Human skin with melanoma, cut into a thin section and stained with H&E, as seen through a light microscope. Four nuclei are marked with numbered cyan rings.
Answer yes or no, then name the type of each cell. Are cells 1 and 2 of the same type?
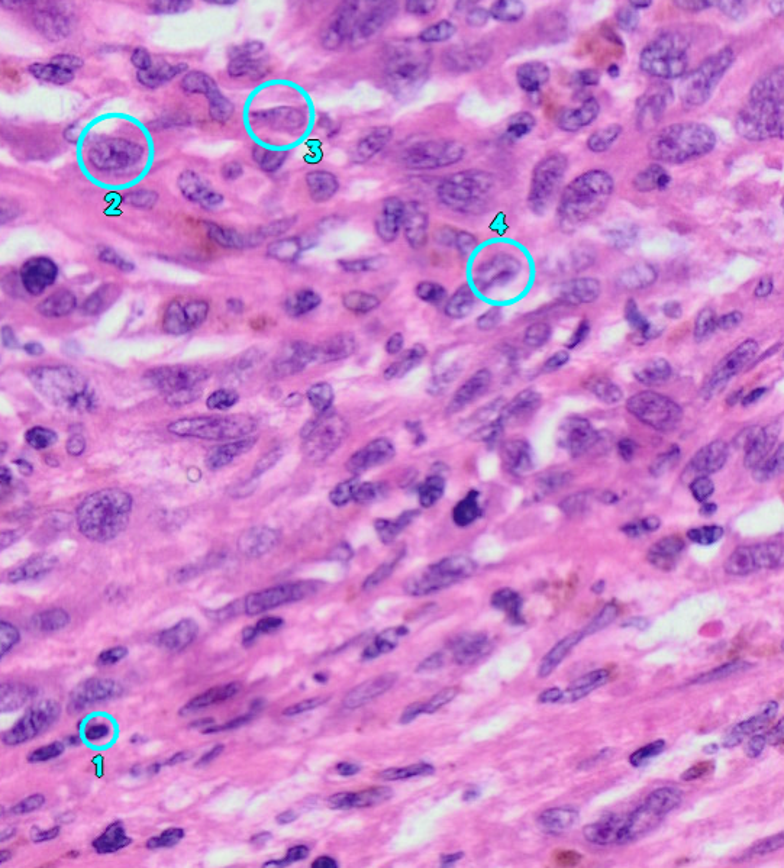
No, just to clarify, cell 1 is a lymphocyte and cell 2 is a melanoma cell.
